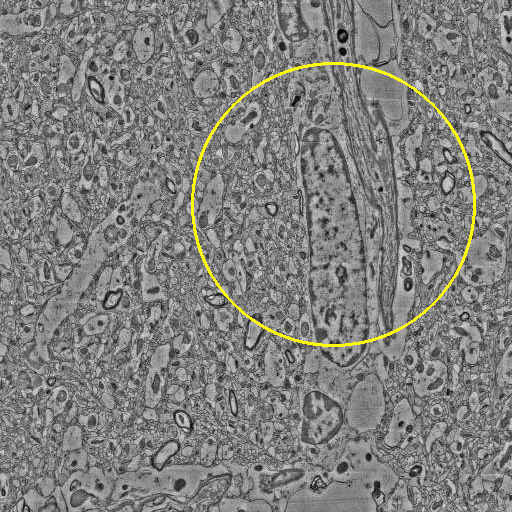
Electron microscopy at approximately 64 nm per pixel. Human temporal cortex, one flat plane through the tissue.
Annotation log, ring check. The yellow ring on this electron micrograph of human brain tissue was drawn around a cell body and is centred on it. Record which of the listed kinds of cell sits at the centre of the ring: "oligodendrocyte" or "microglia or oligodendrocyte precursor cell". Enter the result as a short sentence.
The cell at the centre of the ring is a microglial cell or oligodendrocyte precursor cell.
